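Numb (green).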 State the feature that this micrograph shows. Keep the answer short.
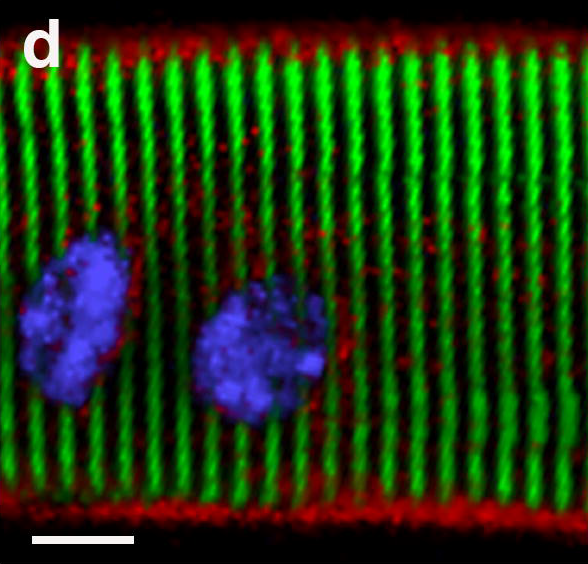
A: Isolated muscle fibers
